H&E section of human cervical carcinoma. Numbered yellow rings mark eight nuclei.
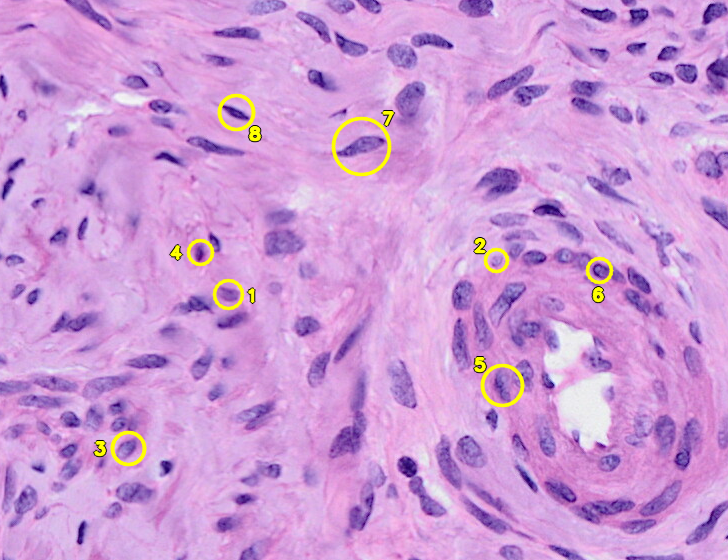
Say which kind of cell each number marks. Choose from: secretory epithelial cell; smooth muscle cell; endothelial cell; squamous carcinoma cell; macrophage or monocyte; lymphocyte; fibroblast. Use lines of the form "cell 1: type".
cell 1: fibroblast
cell 2: smooth muscle cell
cell 3: smooth muscle cell
cell 4: smooth muscle cell
cell 5: smooth muscle cell
cell 6: smooth muscle cell
cell 7: fibroblast
cell 8: fibroblast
